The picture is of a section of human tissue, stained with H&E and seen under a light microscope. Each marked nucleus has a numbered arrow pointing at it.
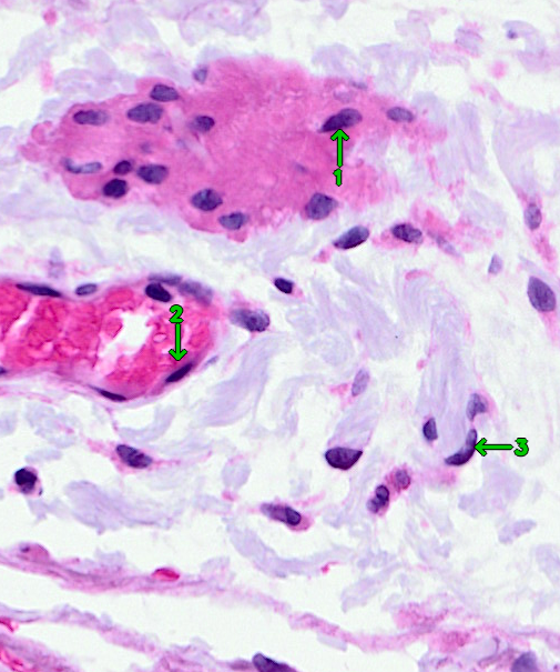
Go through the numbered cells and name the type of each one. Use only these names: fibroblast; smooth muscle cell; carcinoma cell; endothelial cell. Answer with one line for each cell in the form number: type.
1: smooth muscle cell
2: endothelial cell
3: fibroblast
